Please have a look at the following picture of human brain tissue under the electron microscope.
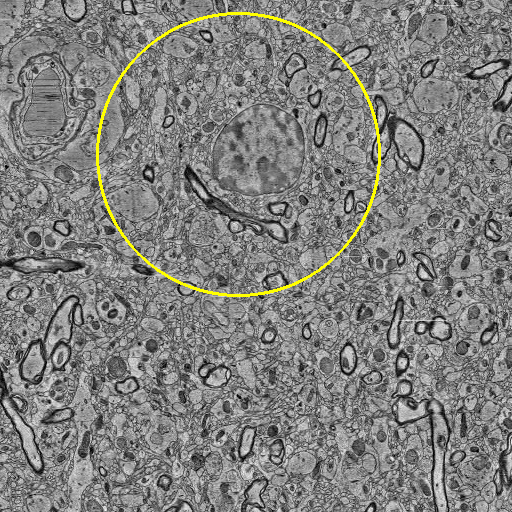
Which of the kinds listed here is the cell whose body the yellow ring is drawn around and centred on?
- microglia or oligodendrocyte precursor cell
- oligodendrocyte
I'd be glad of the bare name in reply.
microglia or oligodendrocyte precursor cell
